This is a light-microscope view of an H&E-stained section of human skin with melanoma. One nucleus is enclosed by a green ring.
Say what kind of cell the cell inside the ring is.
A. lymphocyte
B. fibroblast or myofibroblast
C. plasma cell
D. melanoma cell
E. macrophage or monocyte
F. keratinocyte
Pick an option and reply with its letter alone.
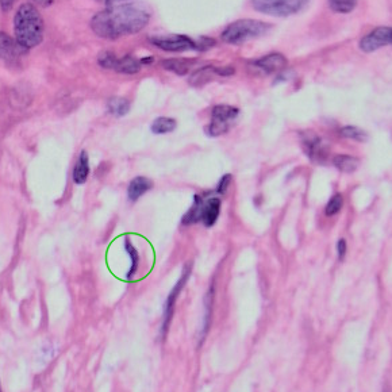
B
